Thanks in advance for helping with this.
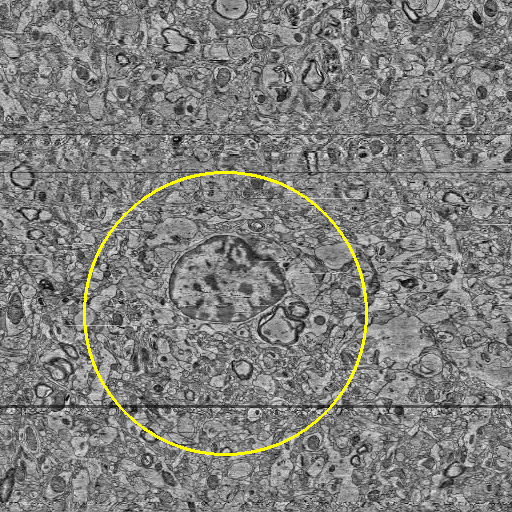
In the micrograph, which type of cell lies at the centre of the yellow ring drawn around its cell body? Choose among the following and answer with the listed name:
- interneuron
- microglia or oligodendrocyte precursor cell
microglia or oligodendrocyte precursor cell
